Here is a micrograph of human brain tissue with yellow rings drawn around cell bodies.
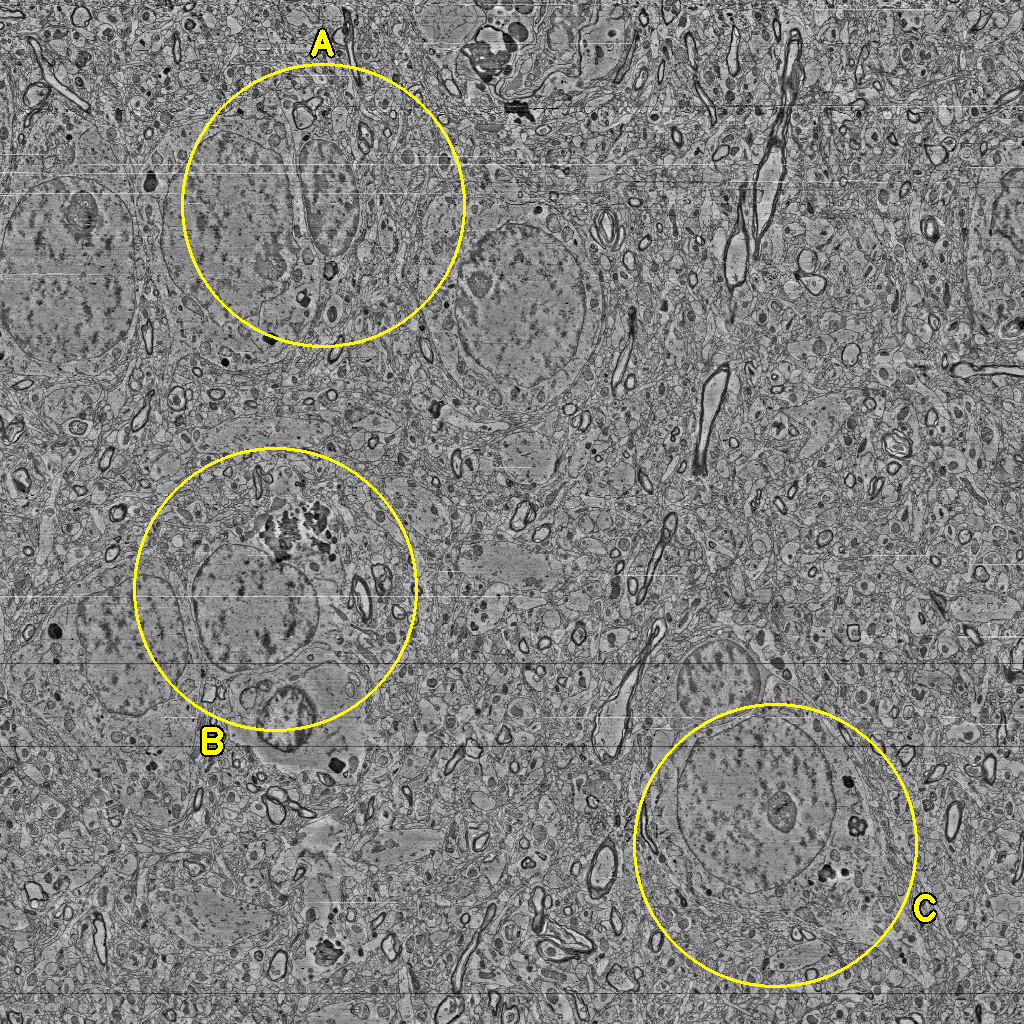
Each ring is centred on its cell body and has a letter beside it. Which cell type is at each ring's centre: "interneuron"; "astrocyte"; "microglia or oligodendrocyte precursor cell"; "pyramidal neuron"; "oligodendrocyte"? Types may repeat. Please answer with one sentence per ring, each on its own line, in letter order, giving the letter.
Ring A shows a microglial cell or oligodendrocyte precursor cell at its centre.
Ring B shows an astrocyte at its centre.
Ring C shows a pyramidal neuron at its centre.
